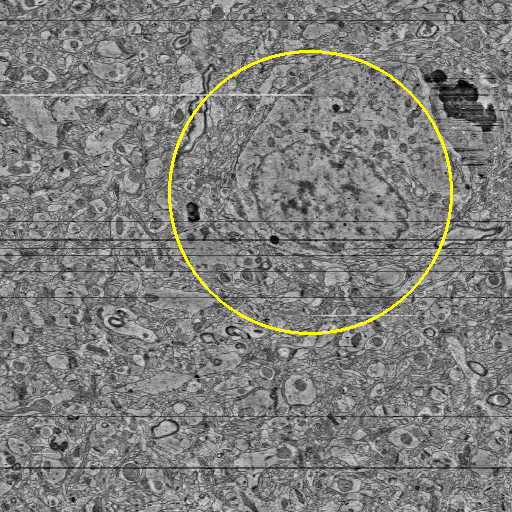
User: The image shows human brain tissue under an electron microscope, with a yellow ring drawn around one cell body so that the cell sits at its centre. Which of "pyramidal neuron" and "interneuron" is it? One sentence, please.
At the centre of the ring sits an interneuron.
